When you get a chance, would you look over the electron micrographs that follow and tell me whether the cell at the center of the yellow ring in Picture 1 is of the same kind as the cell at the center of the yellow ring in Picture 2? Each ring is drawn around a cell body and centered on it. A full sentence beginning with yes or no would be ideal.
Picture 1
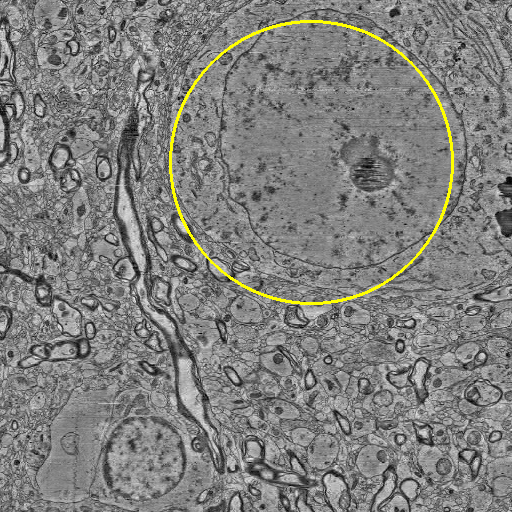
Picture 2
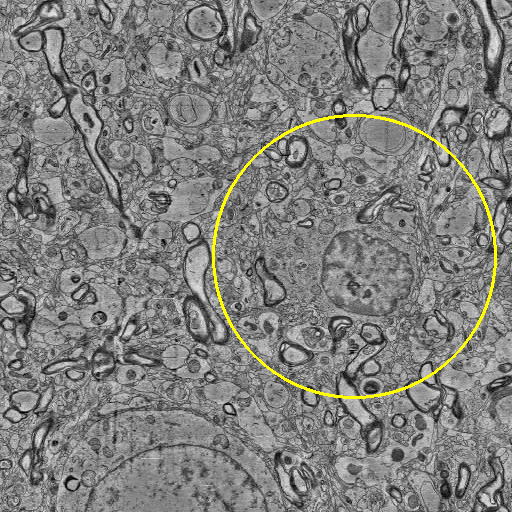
No, they are two kinds of cell.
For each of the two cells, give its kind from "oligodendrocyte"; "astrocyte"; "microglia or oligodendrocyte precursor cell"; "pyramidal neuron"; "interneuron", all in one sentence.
The first picture has a pyramidal neuron in its ring, the second has an oligodendrocyte.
